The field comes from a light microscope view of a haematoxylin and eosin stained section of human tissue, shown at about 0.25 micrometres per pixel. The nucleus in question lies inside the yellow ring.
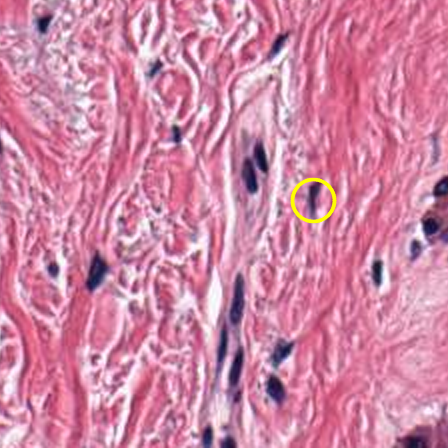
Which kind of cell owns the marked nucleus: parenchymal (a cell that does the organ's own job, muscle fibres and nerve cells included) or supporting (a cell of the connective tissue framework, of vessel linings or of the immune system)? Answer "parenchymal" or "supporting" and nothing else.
supporting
